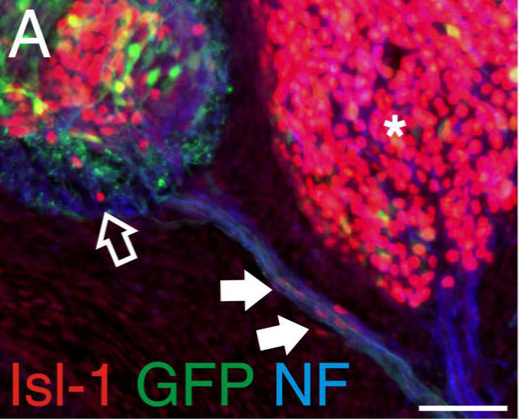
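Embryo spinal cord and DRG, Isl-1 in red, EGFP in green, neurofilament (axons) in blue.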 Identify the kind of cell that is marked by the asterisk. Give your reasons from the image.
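The cluster is separated from the spinal cord by an unlabelled gap.
Sensory neurons.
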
